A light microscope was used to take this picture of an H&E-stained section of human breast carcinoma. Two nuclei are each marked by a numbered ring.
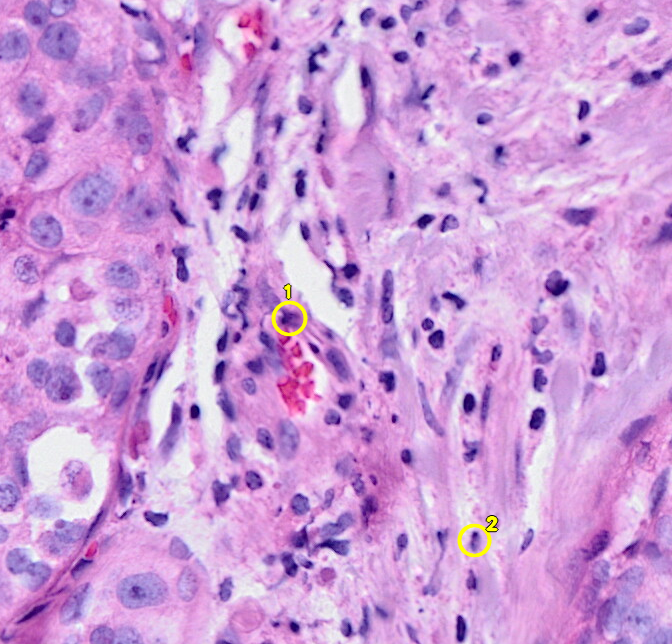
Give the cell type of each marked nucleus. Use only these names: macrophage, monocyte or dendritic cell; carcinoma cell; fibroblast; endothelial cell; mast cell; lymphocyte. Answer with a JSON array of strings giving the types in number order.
["endothelial cell", "lymphocyte"]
